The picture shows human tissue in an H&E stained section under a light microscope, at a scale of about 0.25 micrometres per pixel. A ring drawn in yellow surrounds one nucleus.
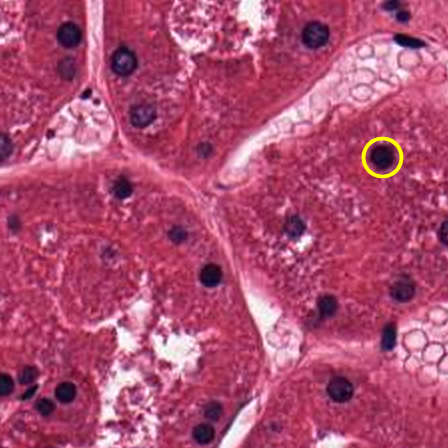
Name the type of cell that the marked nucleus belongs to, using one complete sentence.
The nucleus marked in this picture belongs to a proximal tubule cell.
